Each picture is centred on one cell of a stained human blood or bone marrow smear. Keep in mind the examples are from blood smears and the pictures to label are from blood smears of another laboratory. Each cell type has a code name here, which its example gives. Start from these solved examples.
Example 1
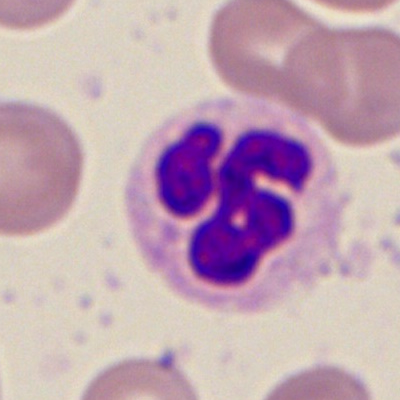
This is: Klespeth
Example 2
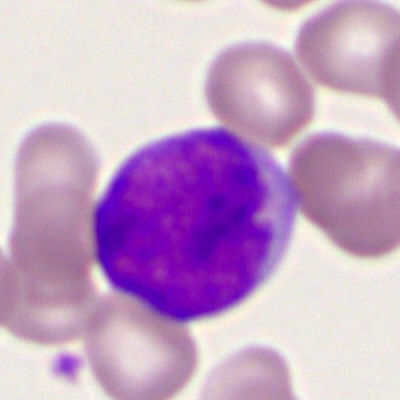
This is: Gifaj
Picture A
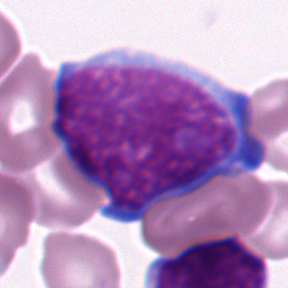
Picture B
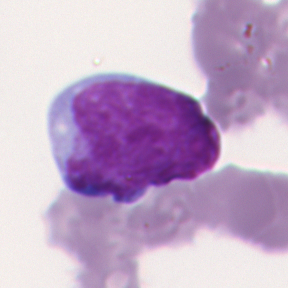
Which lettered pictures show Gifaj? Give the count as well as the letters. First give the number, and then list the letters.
Count: 2 (A, B)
